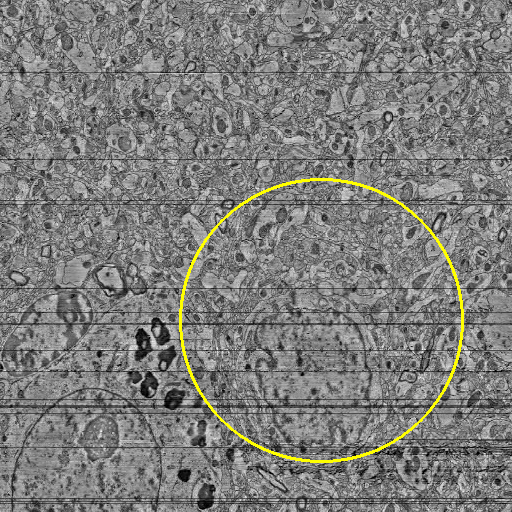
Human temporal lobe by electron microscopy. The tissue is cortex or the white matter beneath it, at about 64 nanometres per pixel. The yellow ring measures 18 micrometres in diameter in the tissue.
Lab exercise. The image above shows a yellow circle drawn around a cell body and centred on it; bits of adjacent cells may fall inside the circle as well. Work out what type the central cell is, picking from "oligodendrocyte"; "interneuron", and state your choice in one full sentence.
In the image above, the cell at the centre of the yellow circle is an interneuron.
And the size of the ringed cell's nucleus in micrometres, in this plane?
Approximately 10 x 8 micrometres in this plane.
